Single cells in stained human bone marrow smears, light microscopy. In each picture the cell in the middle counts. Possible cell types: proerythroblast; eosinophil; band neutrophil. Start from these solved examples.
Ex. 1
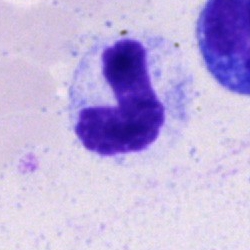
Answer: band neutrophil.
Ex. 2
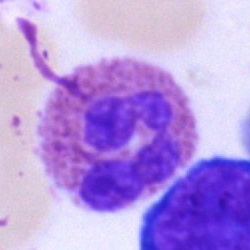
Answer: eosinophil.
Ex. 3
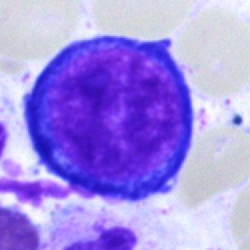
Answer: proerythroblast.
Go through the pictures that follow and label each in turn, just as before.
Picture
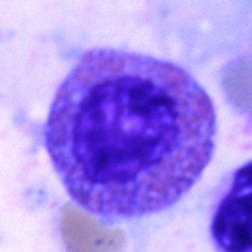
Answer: eosinophil.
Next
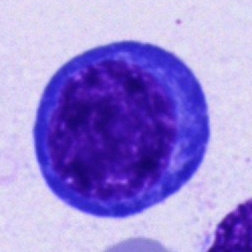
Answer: proerythroblast.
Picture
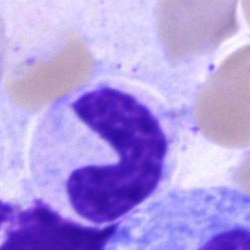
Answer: band neutrophil.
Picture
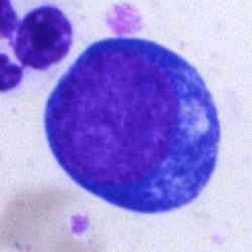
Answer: proerythroblast.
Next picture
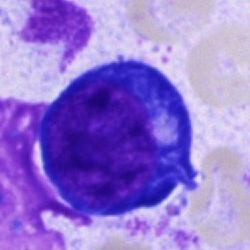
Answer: proerythroblast.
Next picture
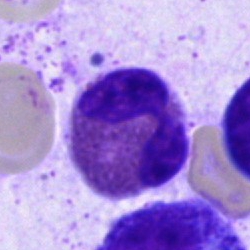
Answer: eosinophil.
